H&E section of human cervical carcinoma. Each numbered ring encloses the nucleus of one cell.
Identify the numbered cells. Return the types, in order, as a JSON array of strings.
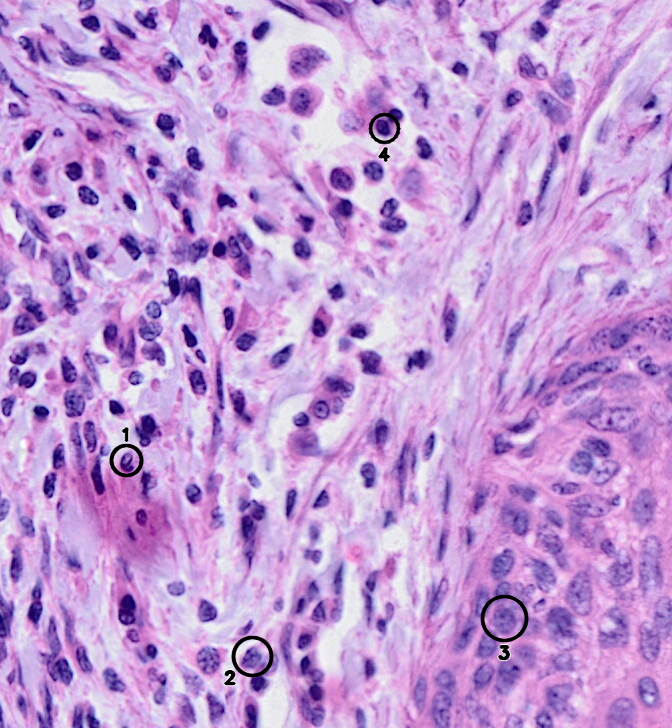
["lymphocyte", "lymphocyte", "squamous carcinoma cell", "lymphocyte"]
